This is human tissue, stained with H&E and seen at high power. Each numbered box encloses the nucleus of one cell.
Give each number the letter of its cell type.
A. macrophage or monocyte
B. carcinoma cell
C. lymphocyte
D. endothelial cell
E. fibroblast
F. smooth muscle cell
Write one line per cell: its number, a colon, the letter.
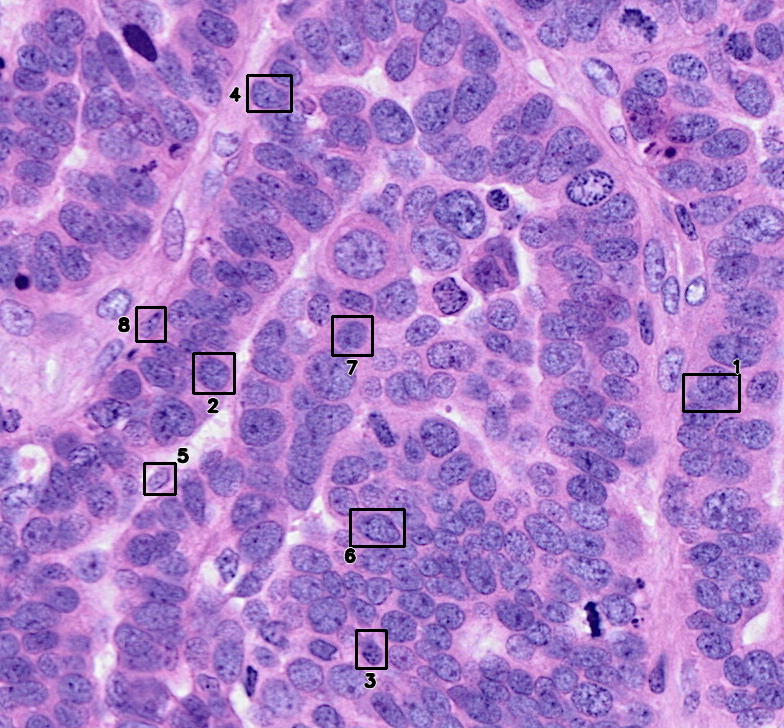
1: B
2: B
3: A
4: B
5: A
6: B
7: B
8: E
